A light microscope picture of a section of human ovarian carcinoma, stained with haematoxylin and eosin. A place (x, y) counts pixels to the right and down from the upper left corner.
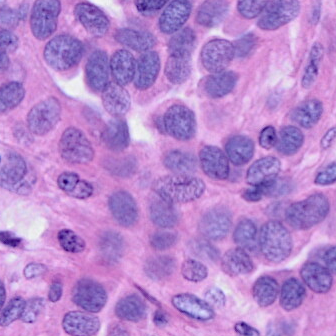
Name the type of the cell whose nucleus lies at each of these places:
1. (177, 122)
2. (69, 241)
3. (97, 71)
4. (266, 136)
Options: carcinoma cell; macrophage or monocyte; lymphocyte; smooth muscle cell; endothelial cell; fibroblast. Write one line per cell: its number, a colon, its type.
1: carcinoma cell
2: macrophage or monocyte
3: carcinoma cell
4: macrophage or monocyte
